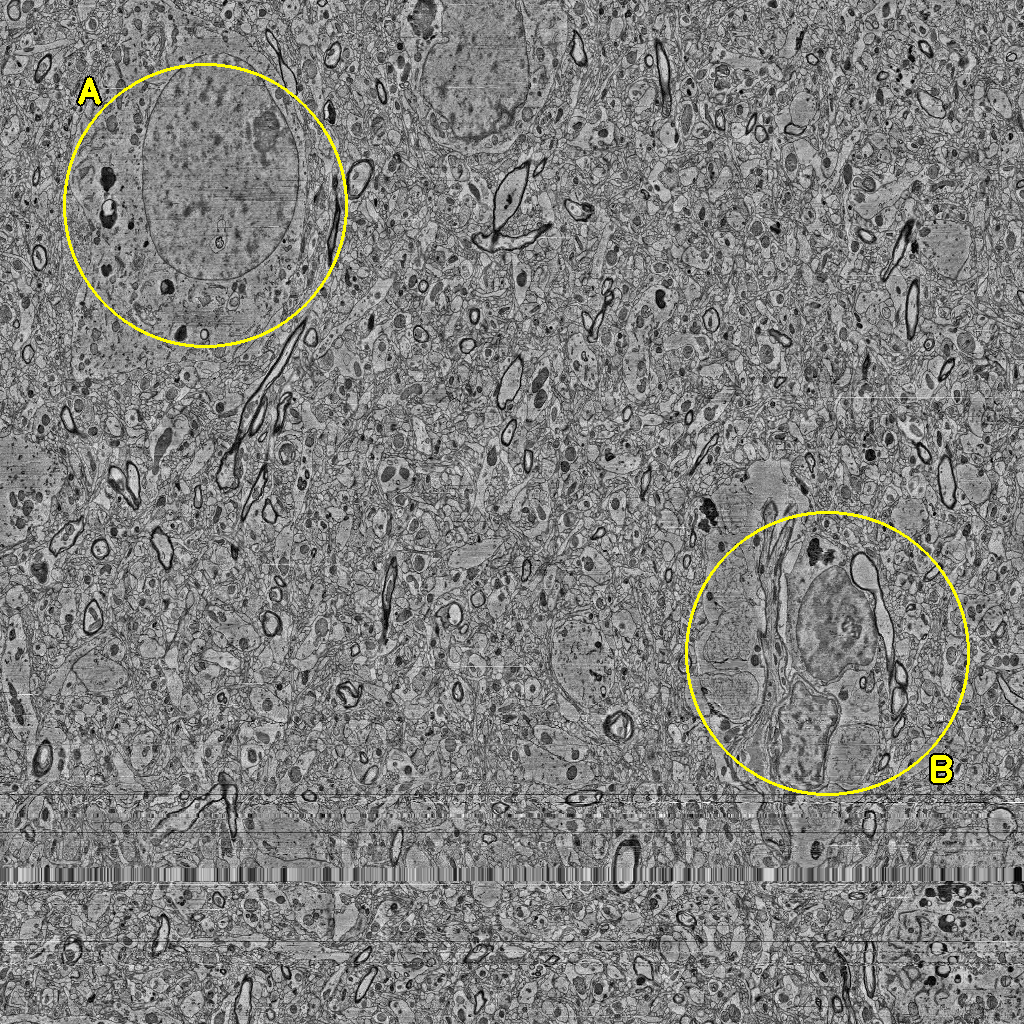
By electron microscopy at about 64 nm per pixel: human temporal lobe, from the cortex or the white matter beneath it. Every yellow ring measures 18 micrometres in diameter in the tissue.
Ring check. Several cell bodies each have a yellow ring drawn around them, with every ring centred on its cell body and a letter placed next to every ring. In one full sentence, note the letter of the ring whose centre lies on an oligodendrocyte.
At the centre of ring B lies the cell asked for in this check.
